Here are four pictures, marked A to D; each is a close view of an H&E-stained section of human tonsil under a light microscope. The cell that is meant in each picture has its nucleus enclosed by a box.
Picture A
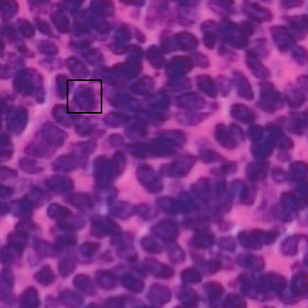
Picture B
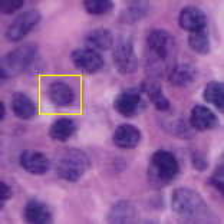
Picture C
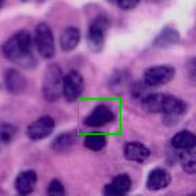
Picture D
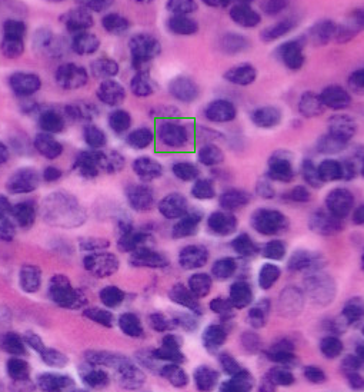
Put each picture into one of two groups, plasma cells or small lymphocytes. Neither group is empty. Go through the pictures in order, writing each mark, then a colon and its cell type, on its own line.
A: small lymphocyte
B: plasma cell
C: plasma cell
D: plasma cell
